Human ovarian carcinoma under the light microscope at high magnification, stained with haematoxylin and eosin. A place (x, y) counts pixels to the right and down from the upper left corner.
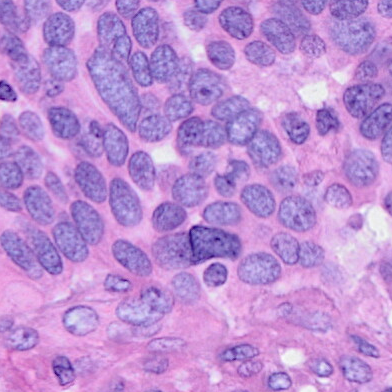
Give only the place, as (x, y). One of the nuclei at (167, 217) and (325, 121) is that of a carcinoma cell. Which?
(167, 217)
